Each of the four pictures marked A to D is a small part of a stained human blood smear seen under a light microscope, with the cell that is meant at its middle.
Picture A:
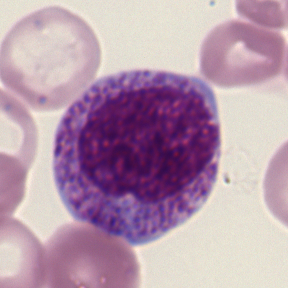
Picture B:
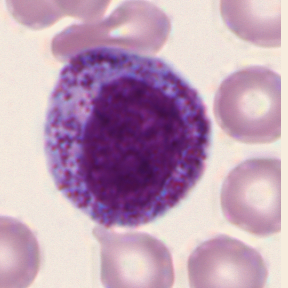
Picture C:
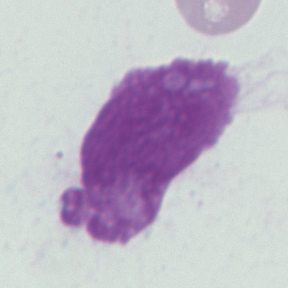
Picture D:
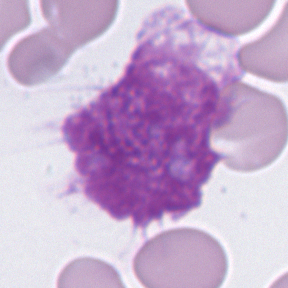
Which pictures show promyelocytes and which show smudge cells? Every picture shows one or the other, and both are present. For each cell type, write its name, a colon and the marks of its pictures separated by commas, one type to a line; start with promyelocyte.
promyelocyte: A, B
smudge cell: C, D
